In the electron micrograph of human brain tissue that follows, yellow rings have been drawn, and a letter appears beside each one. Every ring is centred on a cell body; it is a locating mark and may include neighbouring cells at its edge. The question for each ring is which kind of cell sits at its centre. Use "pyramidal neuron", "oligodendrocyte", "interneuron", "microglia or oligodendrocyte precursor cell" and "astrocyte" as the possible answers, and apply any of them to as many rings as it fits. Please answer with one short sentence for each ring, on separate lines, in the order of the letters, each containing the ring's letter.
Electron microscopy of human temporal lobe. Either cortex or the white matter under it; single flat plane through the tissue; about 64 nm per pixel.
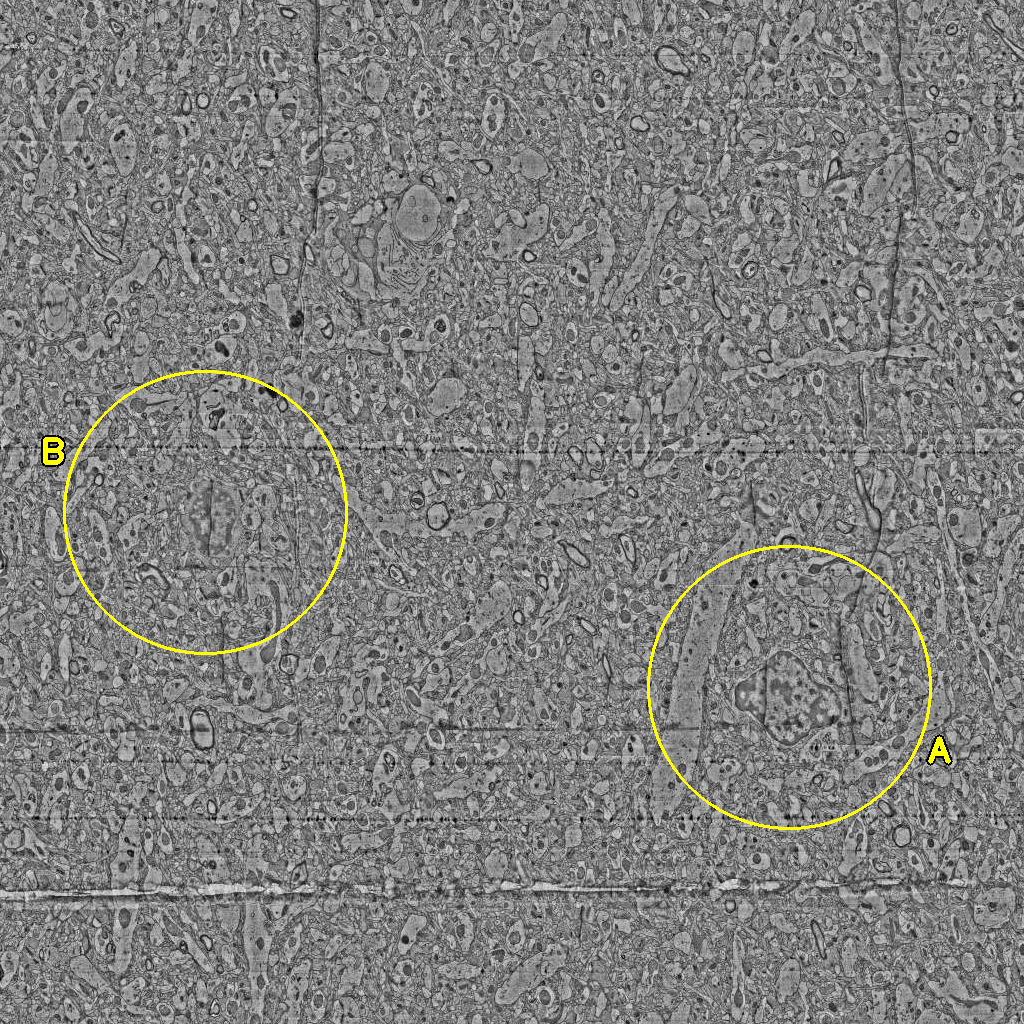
Sitting at the centre of ring A is a microglial cell or oligodendrocyte precursor cell.
Sitting at the centre of ring B is an oligodendrocyte.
